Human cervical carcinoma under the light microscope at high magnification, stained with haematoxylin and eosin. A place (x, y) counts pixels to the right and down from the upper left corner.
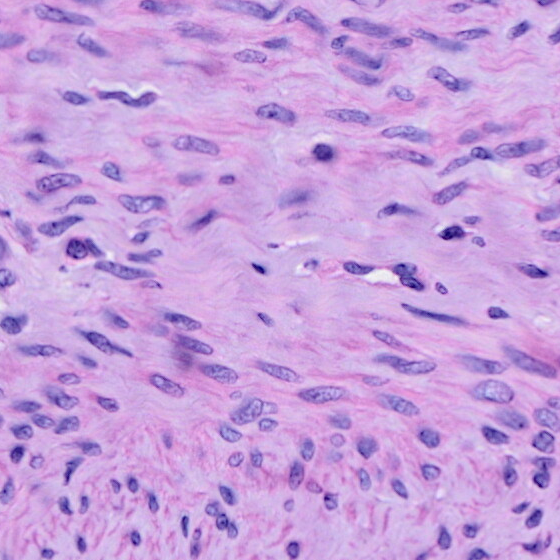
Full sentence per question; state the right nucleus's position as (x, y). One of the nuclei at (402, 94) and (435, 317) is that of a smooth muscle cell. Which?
Of the two nuclei, the one sitting at (402, 94) belongs to a smooth muscle cell.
